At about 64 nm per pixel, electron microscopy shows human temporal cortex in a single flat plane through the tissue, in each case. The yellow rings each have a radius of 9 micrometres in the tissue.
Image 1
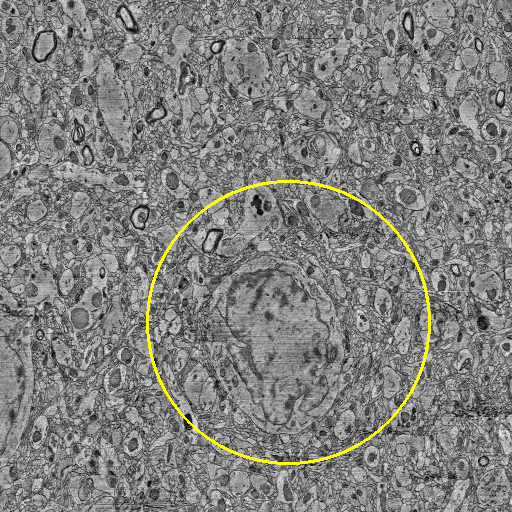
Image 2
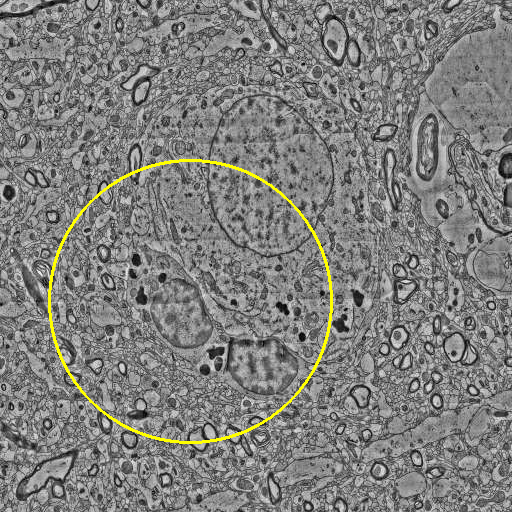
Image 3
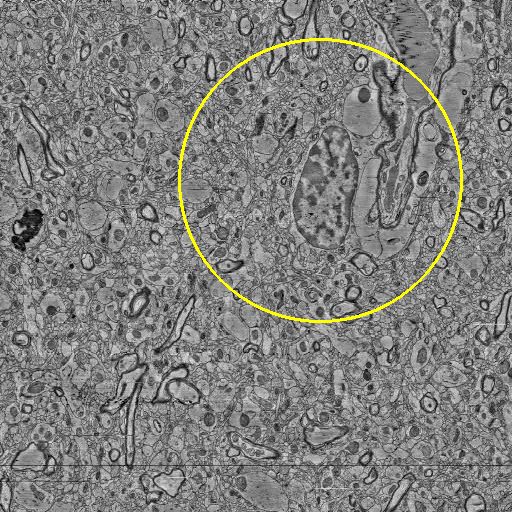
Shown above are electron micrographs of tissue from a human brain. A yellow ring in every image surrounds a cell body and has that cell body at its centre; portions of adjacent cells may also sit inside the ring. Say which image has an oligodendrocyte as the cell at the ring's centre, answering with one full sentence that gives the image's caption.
The image whose ring is centred on the requested cell is Image 2.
